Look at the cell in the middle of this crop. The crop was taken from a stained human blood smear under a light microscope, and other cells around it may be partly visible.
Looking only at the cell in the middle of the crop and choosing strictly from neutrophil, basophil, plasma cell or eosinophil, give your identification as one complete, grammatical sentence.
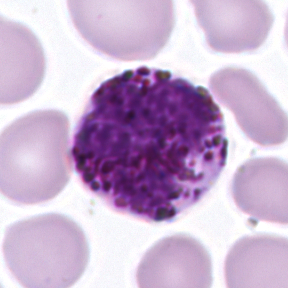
The cell in the middle of this crop is a basophil.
